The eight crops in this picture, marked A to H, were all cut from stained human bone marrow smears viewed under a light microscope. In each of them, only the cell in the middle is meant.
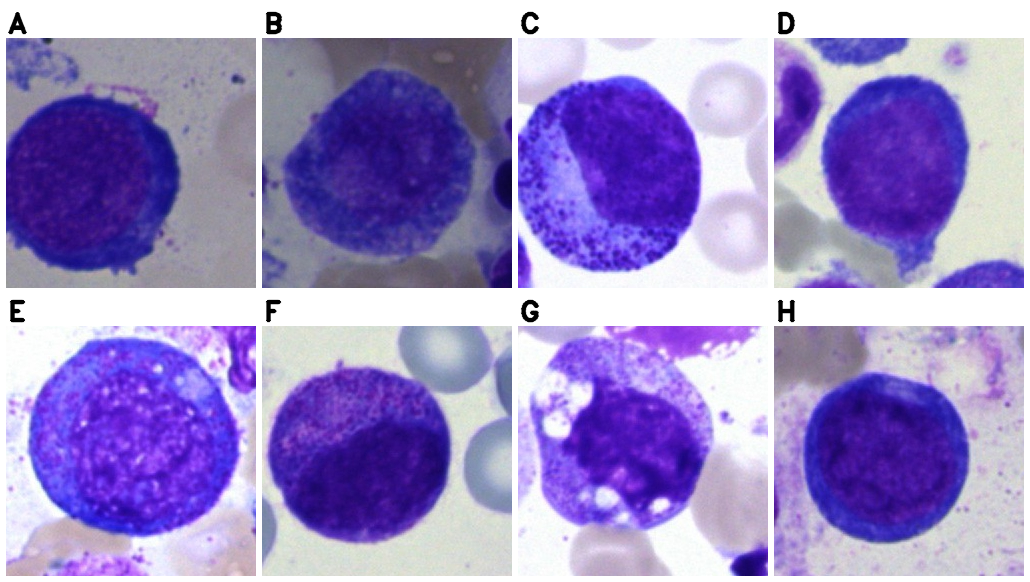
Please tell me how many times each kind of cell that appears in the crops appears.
promyelocyte: 5
proerythroblast: 3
